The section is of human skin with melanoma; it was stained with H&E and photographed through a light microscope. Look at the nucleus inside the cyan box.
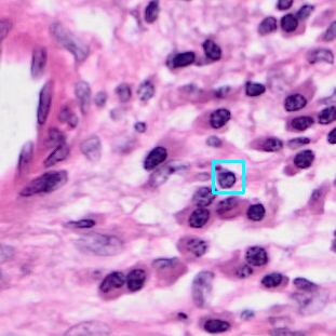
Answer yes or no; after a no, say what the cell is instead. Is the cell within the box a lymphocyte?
Yes.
